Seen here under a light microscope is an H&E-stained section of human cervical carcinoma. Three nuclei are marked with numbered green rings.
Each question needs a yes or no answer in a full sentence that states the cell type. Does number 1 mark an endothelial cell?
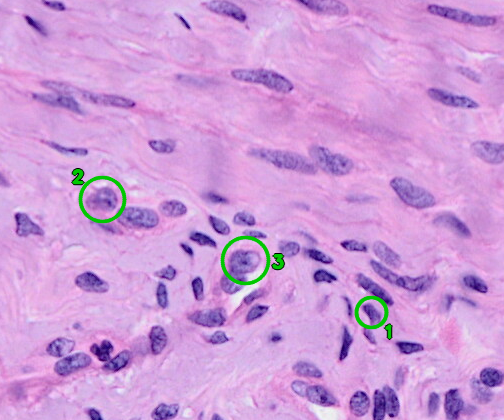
No, the cell with the number 1 is a fibroblast, not an endothelial cell.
